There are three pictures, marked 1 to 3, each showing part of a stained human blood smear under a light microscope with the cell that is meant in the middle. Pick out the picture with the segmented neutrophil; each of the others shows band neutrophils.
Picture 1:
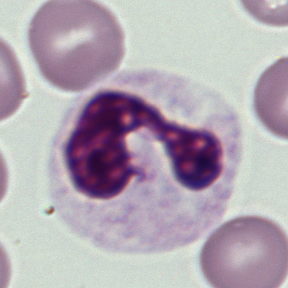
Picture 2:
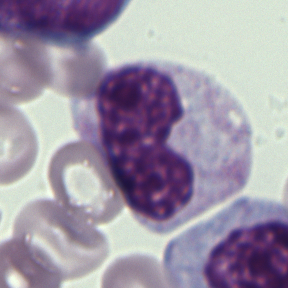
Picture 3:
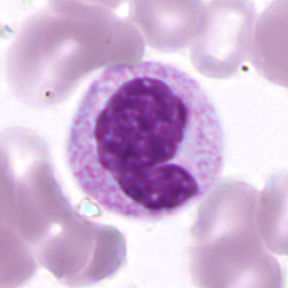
1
